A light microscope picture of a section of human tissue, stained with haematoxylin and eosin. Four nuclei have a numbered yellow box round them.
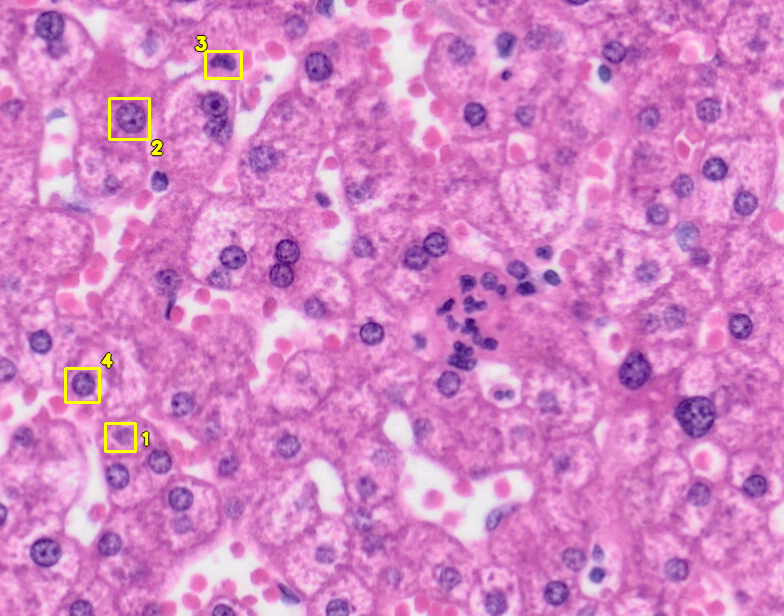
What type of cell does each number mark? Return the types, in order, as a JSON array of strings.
["hepatocyte", "hepatocyte", "fibroblast or stellate cell", "hepatocyte"]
